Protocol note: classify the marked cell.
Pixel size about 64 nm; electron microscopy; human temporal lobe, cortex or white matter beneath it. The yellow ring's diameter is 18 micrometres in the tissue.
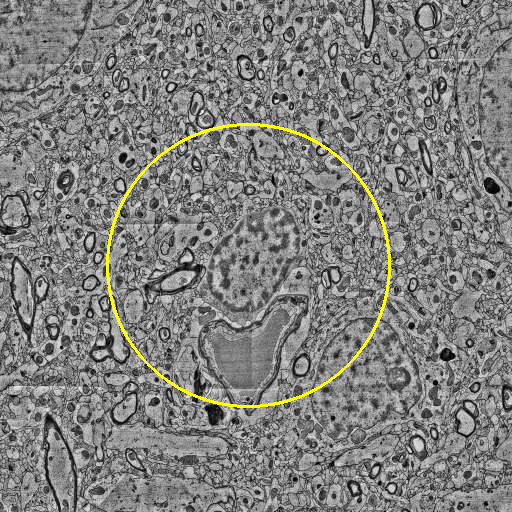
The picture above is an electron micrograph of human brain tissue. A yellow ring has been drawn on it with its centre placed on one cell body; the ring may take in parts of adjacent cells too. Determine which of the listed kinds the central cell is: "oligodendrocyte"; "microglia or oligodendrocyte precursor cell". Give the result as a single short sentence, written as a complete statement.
The central cell is an oligodendrocyte.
